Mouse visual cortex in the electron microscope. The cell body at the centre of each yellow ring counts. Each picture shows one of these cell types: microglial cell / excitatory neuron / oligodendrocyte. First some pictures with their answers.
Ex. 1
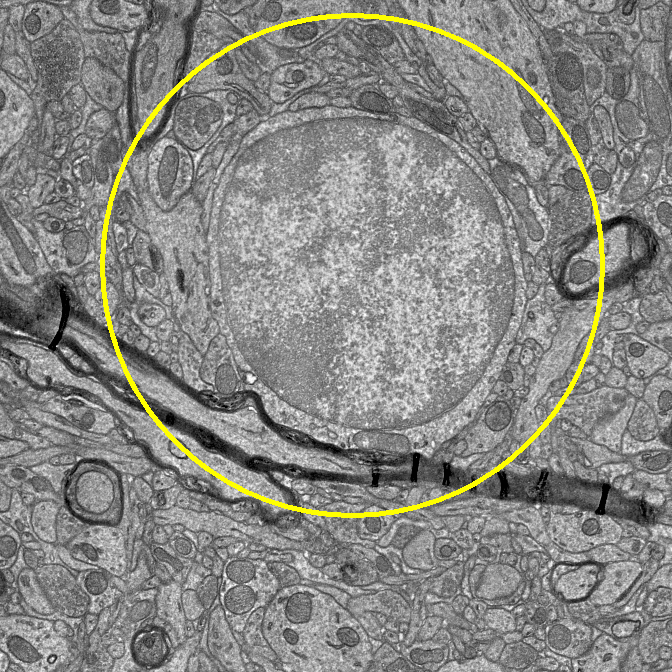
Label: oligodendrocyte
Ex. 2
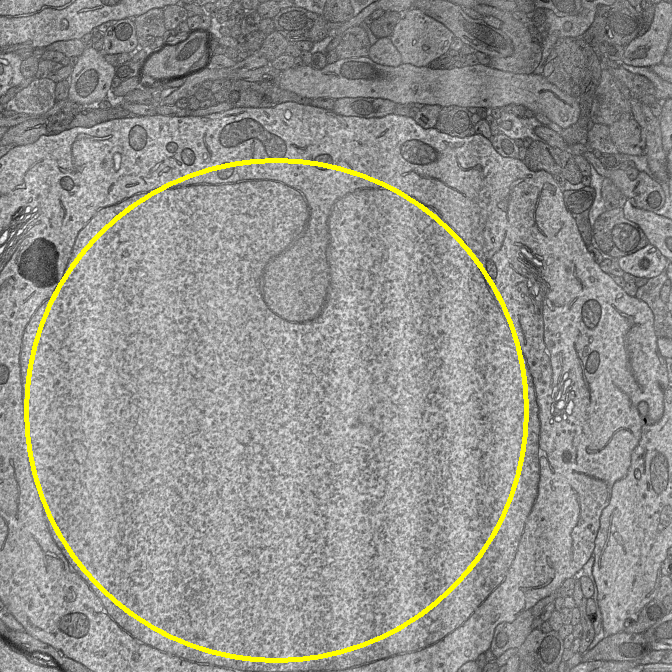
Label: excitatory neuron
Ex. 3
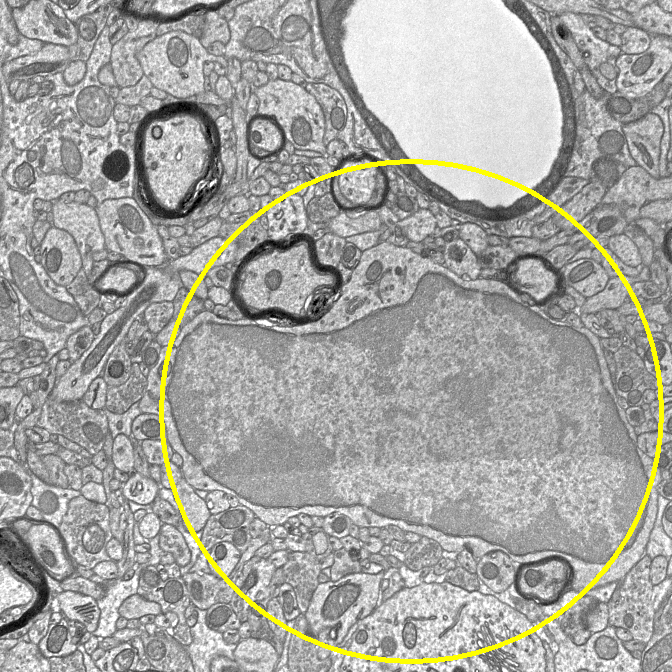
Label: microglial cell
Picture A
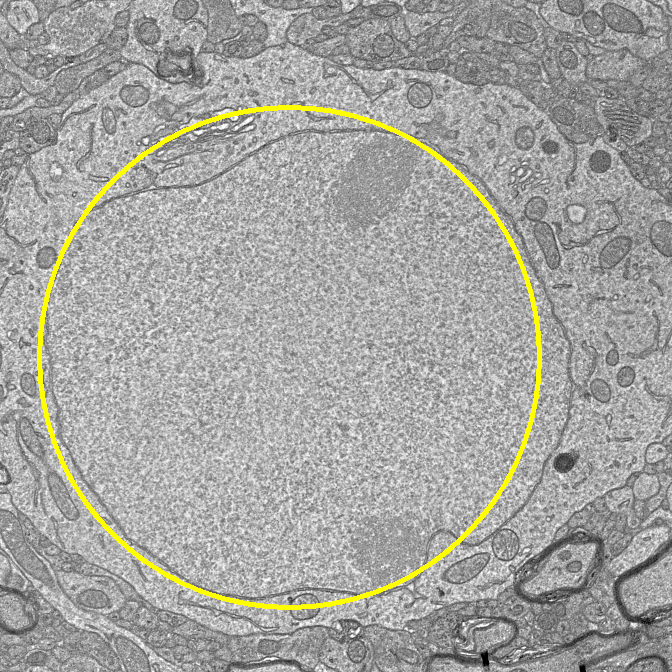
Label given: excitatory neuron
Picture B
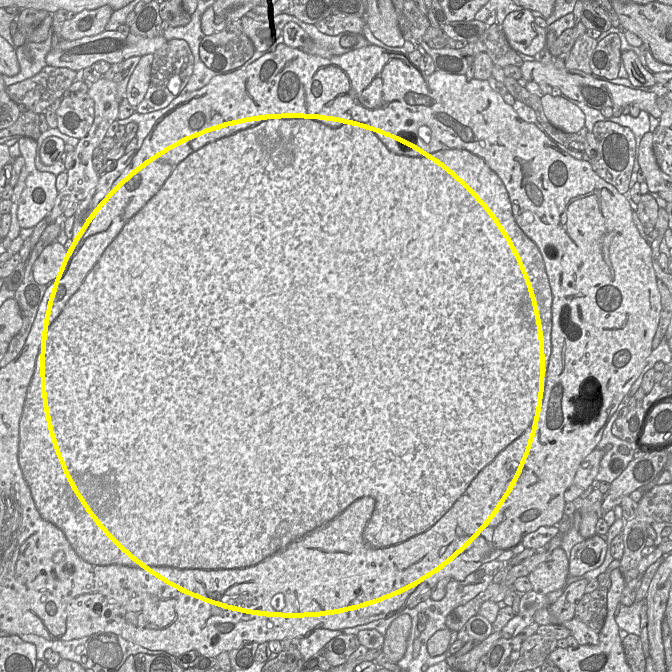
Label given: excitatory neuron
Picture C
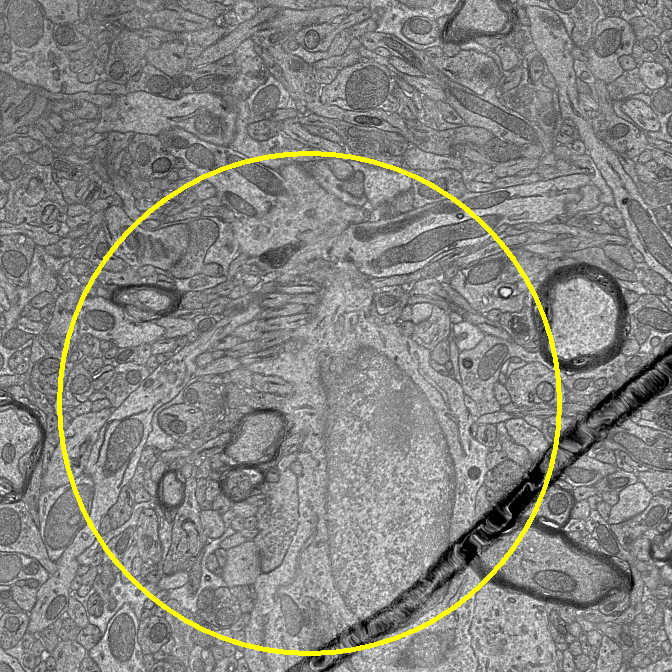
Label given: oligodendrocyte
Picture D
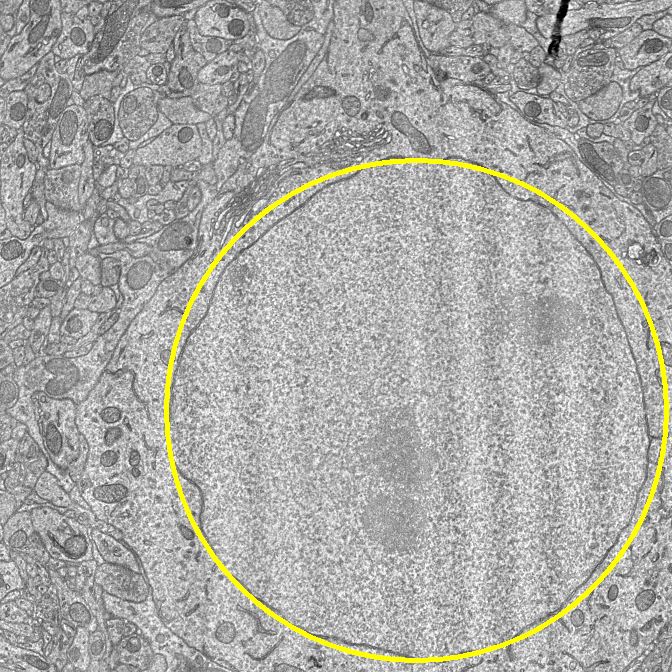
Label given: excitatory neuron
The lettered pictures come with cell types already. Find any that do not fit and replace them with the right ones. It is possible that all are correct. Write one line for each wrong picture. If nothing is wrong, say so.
No label is wrong.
